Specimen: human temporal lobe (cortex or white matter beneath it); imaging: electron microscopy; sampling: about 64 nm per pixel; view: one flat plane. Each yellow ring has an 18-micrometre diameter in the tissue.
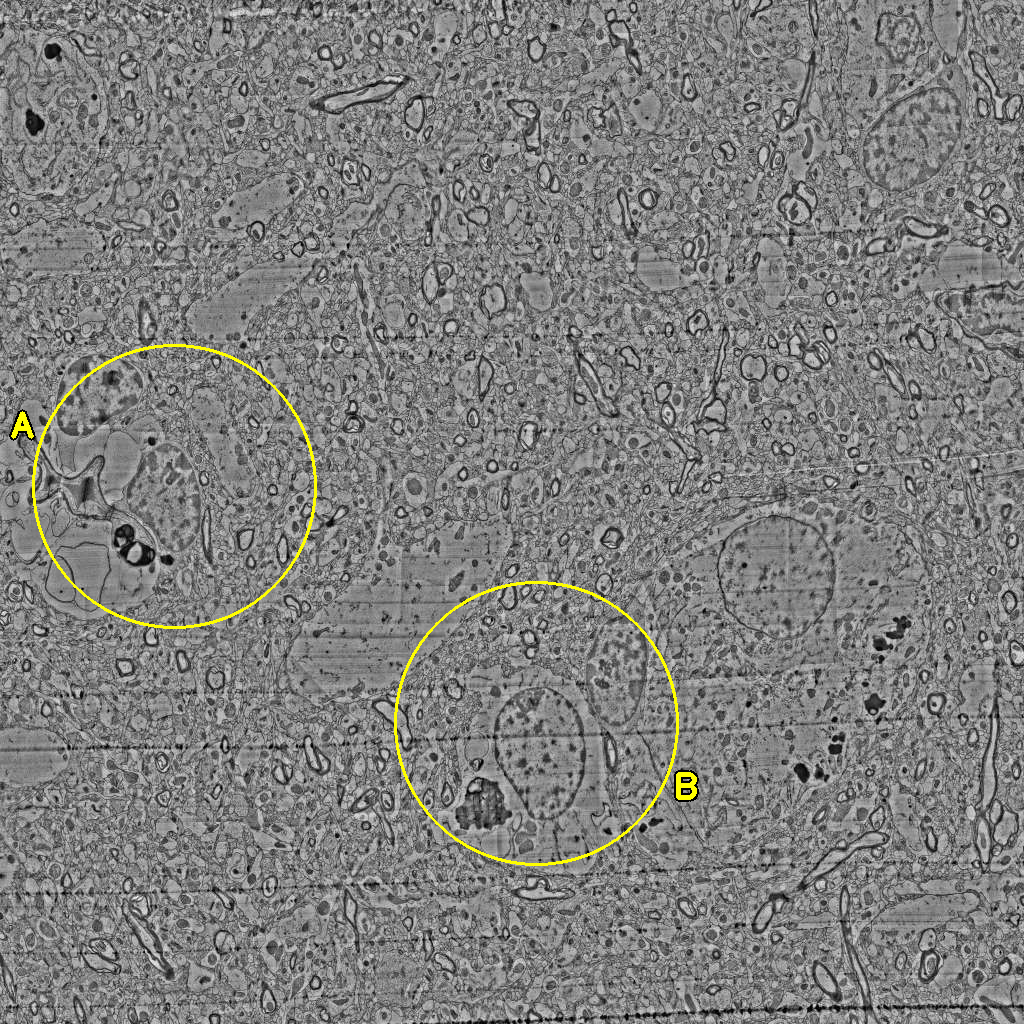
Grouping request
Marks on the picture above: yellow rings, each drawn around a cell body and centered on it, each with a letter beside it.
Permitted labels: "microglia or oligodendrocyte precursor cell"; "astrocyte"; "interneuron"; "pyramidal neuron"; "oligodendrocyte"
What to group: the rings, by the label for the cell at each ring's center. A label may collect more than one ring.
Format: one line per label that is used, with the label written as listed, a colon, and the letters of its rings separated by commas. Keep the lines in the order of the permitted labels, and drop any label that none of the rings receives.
astrocyte: B
oligodendrocyte: A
